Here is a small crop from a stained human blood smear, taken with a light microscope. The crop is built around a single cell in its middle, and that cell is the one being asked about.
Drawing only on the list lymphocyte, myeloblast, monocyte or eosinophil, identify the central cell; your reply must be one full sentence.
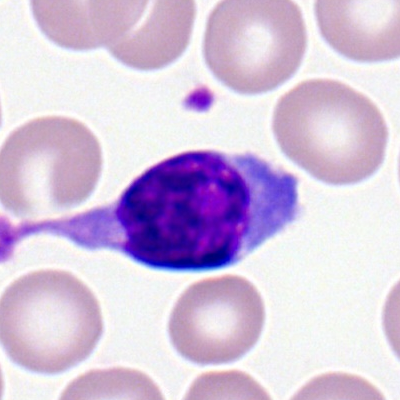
In this crop, the cell at the very middle is a lymphocyte.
